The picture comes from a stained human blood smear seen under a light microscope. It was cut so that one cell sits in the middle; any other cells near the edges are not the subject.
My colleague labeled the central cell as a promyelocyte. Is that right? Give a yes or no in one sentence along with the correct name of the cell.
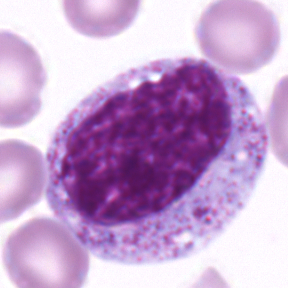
Yes, the cell centred in this crop is a promyelocyte.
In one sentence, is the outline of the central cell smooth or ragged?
Expected answer: a smooth cell outline without projections of any sort.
